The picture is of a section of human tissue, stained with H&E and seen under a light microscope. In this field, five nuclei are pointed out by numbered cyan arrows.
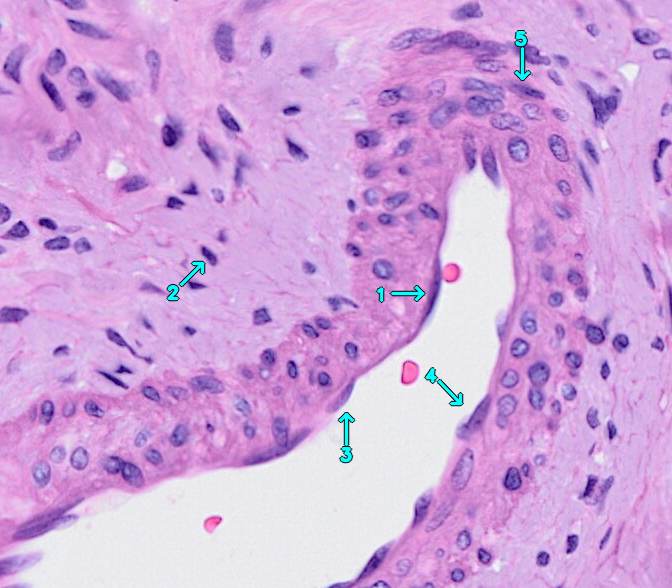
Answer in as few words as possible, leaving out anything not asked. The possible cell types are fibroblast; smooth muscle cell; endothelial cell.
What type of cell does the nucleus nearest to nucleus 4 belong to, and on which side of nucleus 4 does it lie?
a smooth muscle cell; to the right of nucleus 4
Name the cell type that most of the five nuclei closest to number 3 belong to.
smooth muscle cell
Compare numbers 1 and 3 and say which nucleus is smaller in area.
3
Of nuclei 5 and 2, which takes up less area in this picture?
2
